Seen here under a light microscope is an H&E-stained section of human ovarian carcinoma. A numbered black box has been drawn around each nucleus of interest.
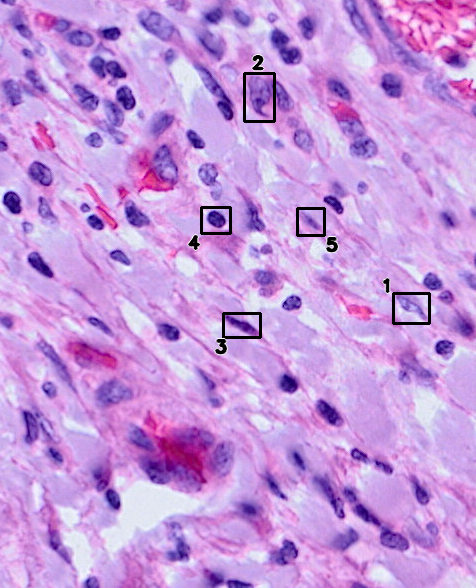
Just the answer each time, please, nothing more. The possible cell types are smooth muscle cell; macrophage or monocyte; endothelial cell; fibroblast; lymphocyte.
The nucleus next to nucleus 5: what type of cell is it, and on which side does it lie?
a lymphocyte above and to the right of nucleus 5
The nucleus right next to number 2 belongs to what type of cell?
endothelial cell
